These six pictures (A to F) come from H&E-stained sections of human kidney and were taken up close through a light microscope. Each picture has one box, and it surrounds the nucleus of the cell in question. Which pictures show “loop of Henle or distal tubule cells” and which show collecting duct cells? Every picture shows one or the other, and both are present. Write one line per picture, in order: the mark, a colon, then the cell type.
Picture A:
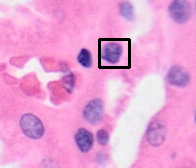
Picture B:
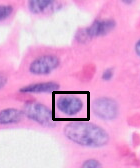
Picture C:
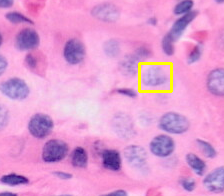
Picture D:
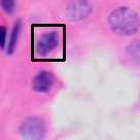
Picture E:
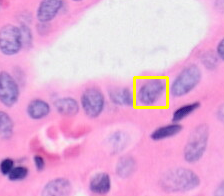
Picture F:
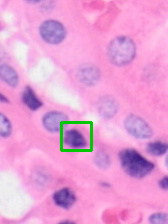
A: loop of Henle or distal tubule cell
B: collecting duct cell
C: collecting duct cell
D: loop of Henle or distal tubule cell
E: collecting duct cell
F: collecting duct cell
